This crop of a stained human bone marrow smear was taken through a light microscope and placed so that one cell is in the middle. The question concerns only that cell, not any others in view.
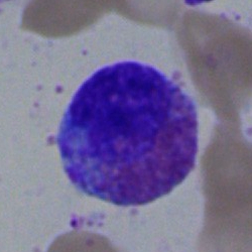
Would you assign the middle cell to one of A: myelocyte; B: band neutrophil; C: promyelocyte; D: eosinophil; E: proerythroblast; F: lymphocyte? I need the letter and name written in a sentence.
The cell at the heart of the crop is an eosinophil, so choose option D.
